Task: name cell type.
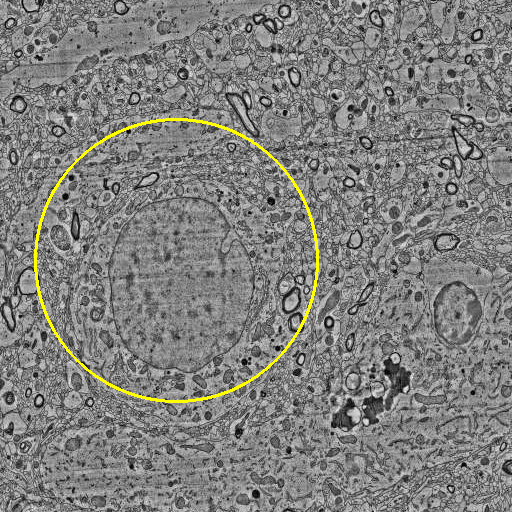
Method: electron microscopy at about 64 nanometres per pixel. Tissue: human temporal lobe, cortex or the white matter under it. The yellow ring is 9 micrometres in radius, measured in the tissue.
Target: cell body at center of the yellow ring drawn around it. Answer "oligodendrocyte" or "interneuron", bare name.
interneuron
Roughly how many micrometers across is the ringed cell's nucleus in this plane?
About 11 micrometres by about 9 micrometres in this plane.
